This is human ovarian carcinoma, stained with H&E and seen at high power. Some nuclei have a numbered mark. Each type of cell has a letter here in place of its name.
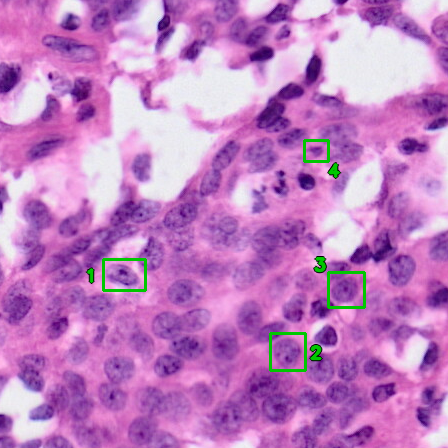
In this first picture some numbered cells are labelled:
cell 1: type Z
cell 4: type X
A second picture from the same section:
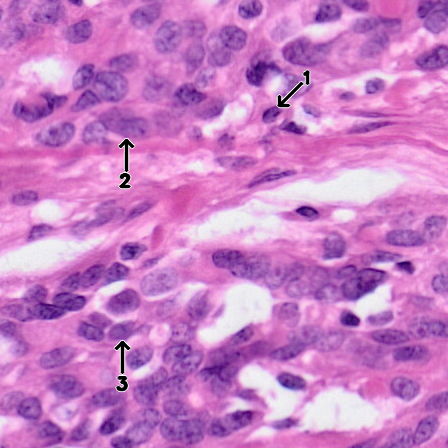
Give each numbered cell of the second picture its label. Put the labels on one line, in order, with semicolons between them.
type Z; type X; type X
